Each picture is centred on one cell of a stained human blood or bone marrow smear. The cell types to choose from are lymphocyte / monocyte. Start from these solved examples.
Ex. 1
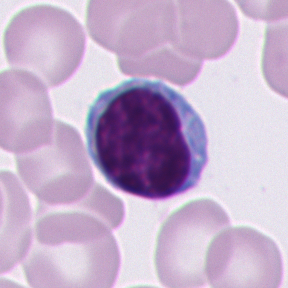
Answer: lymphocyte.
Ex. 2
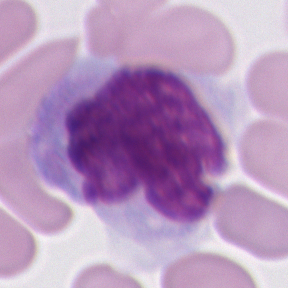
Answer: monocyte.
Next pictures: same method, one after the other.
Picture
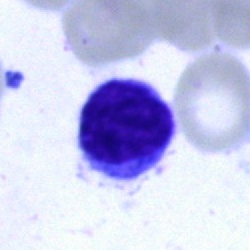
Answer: lymphocyte.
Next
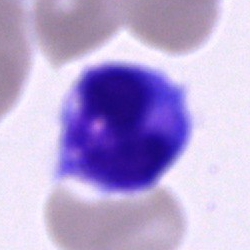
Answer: monocyte.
